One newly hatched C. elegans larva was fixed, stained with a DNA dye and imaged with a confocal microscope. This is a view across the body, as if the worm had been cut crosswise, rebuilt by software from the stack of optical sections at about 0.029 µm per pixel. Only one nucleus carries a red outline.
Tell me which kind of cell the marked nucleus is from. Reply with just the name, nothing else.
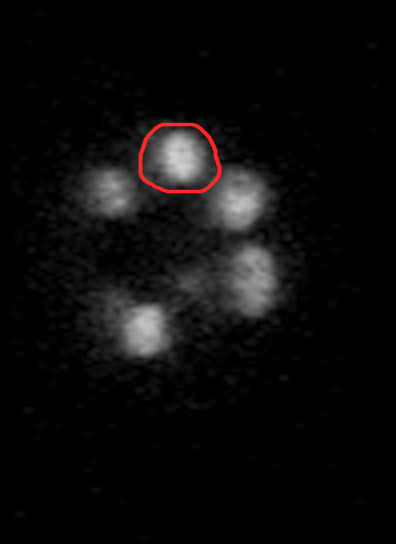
neuron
